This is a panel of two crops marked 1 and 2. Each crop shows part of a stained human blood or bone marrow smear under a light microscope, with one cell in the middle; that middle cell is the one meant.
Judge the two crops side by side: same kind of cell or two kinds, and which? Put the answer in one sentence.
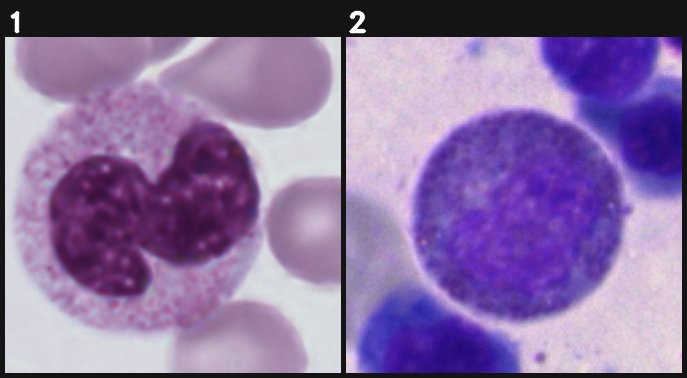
No, crop 1 gives us a band neutrophil and crop 2 gives us an eosinophil.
